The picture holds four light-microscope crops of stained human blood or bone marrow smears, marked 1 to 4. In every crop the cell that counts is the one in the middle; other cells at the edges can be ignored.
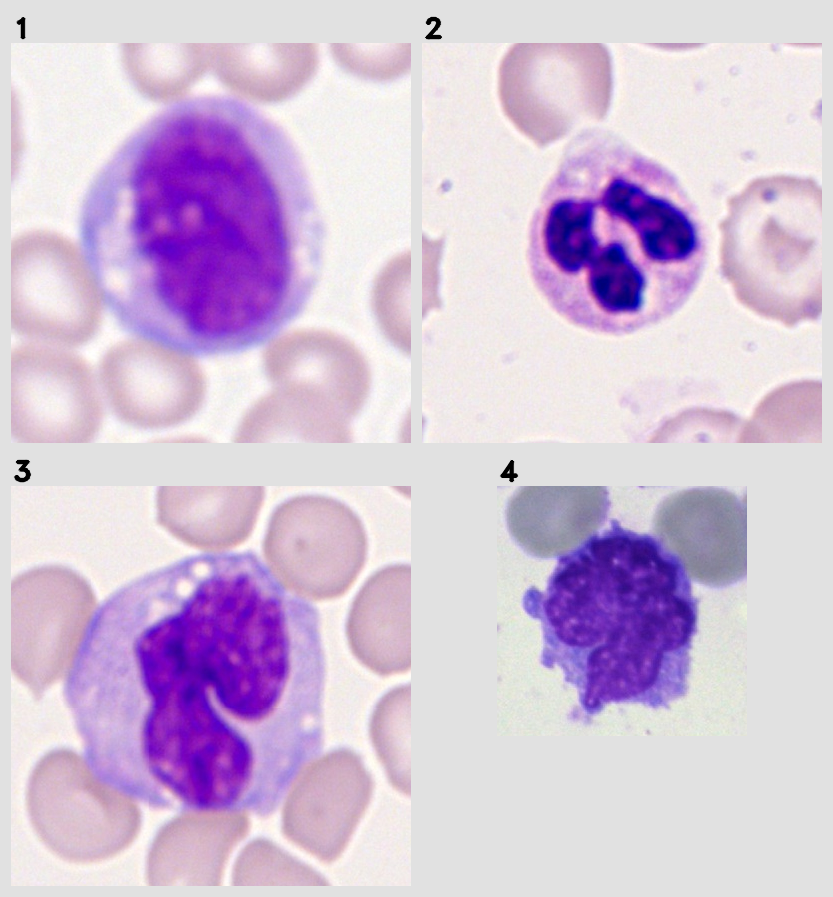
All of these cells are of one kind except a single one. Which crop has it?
2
